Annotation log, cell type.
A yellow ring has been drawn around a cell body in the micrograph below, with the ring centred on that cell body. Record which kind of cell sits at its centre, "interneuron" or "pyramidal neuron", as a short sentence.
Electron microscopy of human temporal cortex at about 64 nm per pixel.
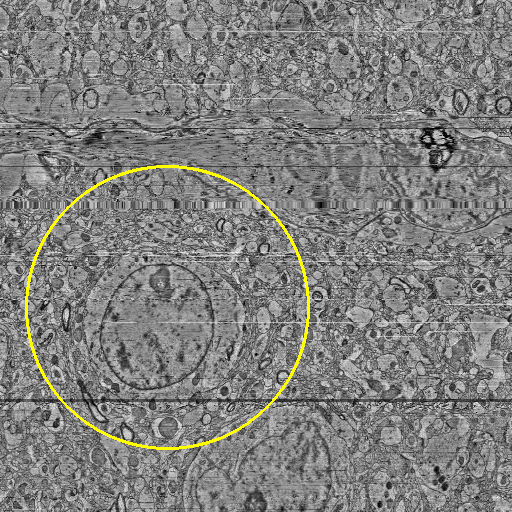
The cell at the centre of this ring is a pyramidal neuron.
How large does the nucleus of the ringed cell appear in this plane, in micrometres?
About 9 micrometres by about 7 micrometres in this plane.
